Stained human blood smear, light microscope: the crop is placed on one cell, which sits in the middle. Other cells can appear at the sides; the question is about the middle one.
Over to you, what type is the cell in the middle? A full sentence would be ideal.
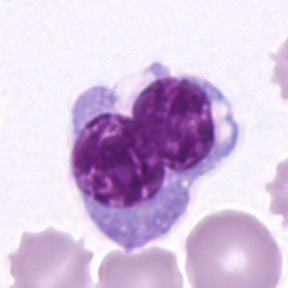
In the middle of this smear crop, the cell is a plasma cell.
